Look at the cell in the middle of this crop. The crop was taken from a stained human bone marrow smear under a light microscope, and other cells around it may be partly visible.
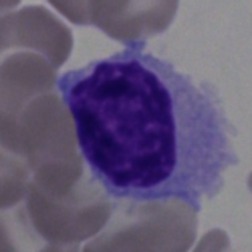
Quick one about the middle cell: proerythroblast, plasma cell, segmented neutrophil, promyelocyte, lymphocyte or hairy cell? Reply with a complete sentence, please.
The centrally located cell in the crop is a hairy cell.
